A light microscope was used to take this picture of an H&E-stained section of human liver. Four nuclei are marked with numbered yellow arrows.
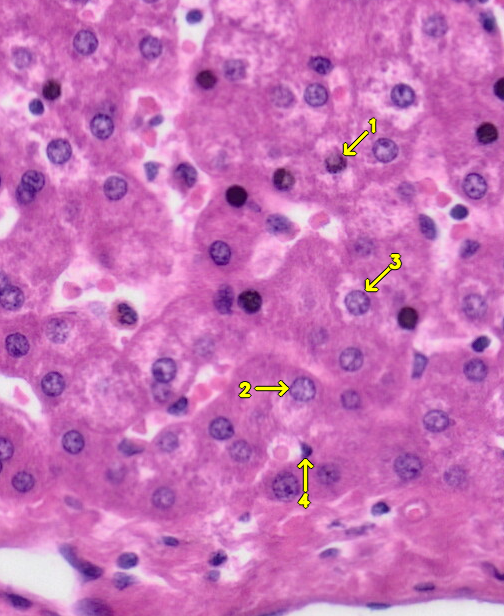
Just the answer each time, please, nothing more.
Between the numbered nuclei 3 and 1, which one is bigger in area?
3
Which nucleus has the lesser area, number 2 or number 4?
4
